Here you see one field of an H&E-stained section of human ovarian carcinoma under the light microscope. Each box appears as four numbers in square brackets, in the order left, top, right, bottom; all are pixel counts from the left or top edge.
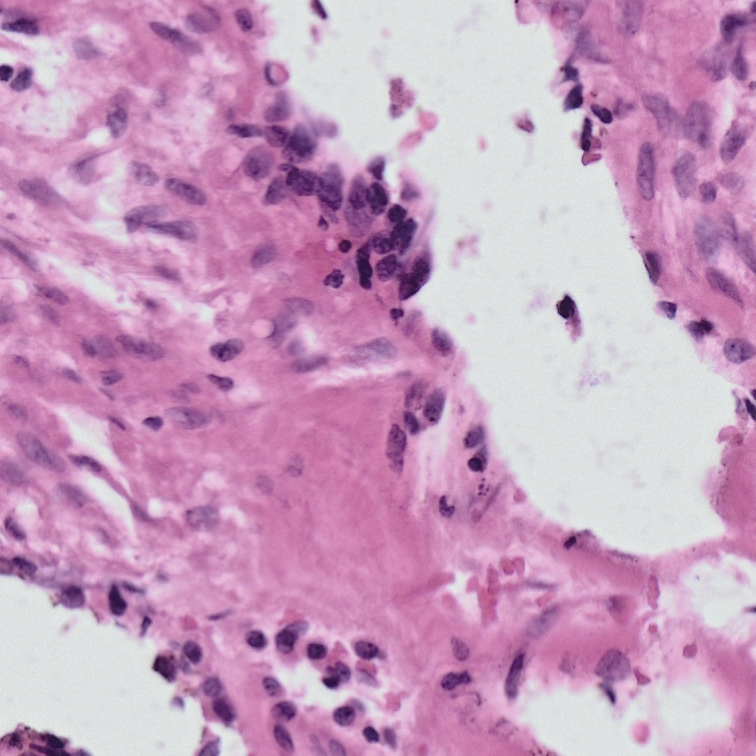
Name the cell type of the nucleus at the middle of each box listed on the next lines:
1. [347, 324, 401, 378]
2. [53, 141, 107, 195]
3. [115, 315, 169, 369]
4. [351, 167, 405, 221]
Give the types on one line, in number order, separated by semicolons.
fibroblast; fibroblast; fibroblast; carcinoma cell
